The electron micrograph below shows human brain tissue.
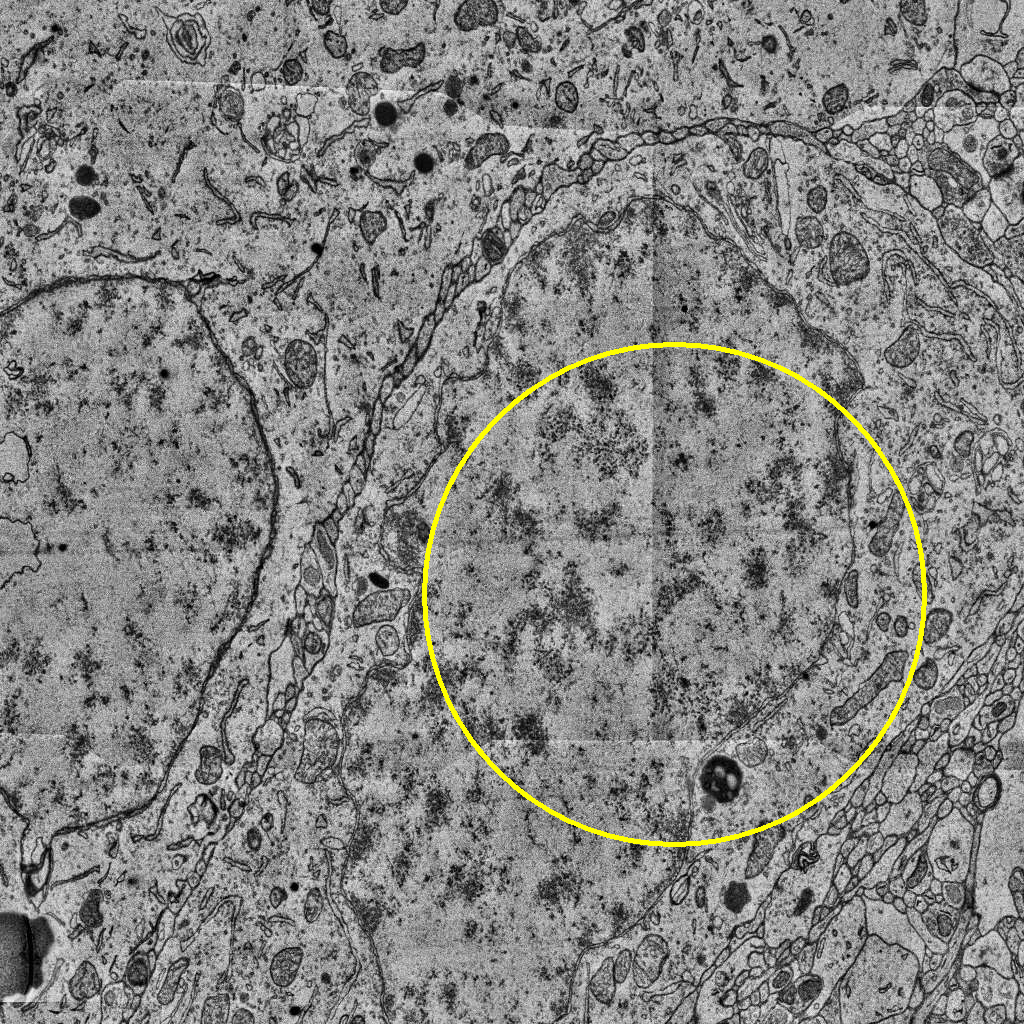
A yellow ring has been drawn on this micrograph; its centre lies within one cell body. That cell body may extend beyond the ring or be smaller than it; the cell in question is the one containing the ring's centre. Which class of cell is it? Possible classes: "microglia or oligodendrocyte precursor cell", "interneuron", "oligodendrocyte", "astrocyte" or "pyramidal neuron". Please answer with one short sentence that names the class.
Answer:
In the centre of the ring sits an interneuron.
